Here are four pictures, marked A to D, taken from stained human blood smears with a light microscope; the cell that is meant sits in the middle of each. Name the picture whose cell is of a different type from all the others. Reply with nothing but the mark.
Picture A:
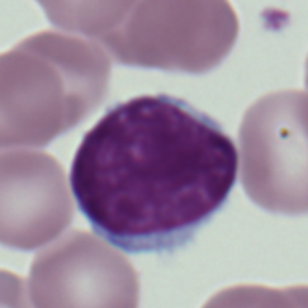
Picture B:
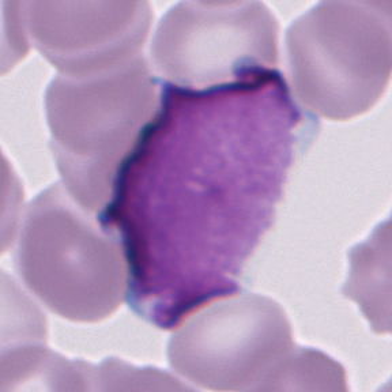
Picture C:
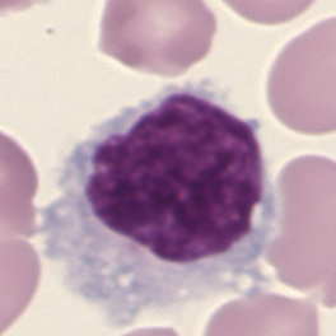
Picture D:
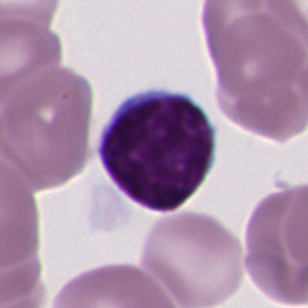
C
